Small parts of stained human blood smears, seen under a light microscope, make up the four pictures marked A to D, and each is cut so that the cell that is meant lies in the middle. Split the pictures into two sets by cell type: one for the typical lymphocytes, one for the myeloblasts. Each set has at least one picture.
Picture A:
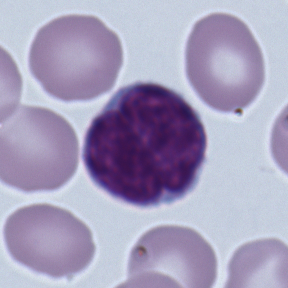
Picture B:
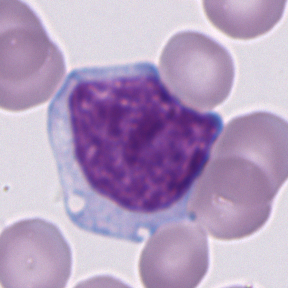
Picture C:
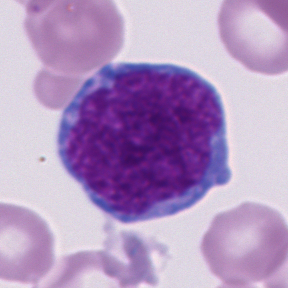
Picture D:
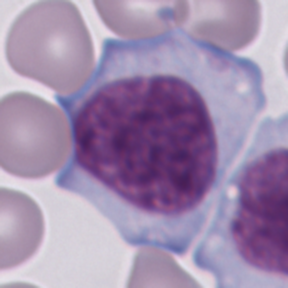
A: typical lymphocyte
B: myeloblast
C: myeloblast
D: myeloblast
